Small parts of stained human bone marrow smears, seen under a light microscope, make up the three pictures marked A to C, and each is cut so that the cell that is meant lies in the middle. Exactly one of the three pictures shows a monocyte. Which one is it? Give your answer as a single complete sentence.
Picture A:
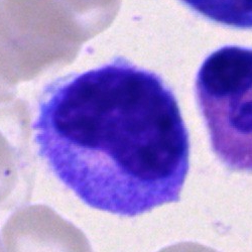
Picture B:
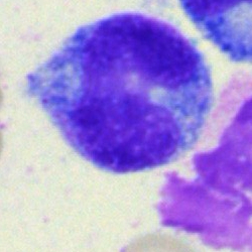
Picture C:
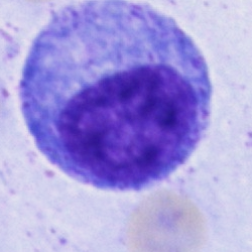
The monocyte is the one in picture B.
